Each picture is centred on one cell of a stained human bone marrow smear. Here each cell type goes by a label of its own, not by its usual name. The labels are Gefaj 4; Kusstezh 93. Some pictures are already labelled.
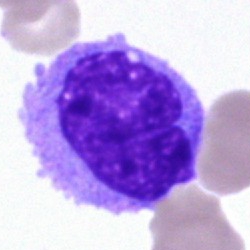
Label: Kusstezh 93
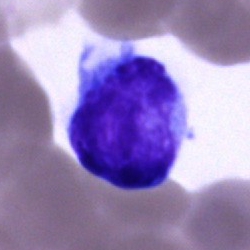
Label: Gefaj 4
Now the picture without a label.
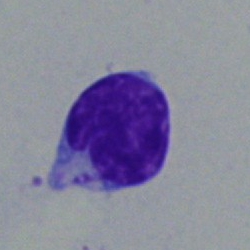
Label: Gefaj 4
